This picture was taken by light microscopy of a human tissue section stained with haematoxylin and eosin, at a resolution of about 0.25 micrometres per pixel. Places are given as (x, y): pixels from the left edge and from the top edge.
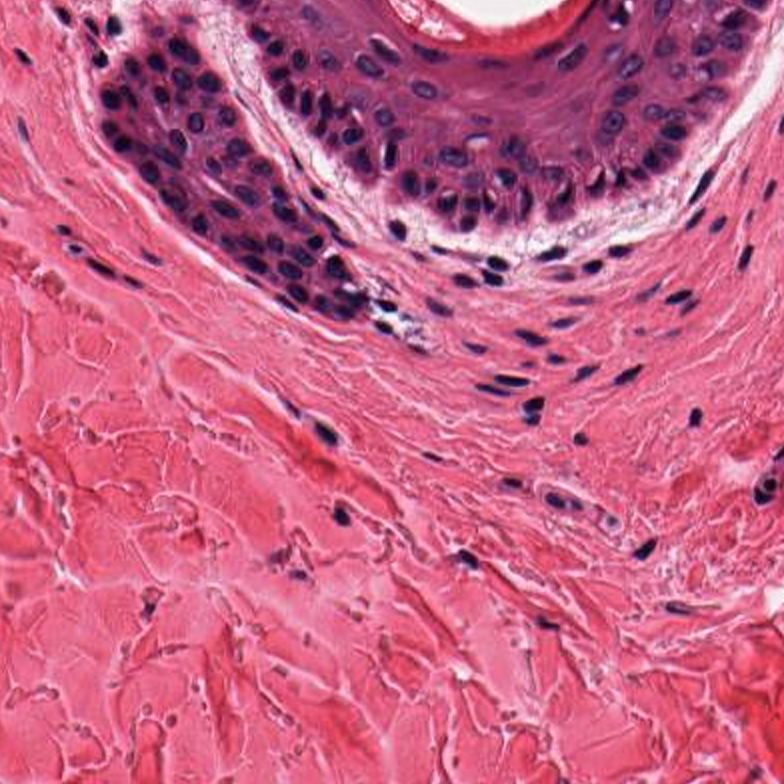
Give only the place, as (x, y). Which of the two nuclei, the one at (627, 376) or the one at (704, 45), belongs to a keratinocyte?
(704, 45)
